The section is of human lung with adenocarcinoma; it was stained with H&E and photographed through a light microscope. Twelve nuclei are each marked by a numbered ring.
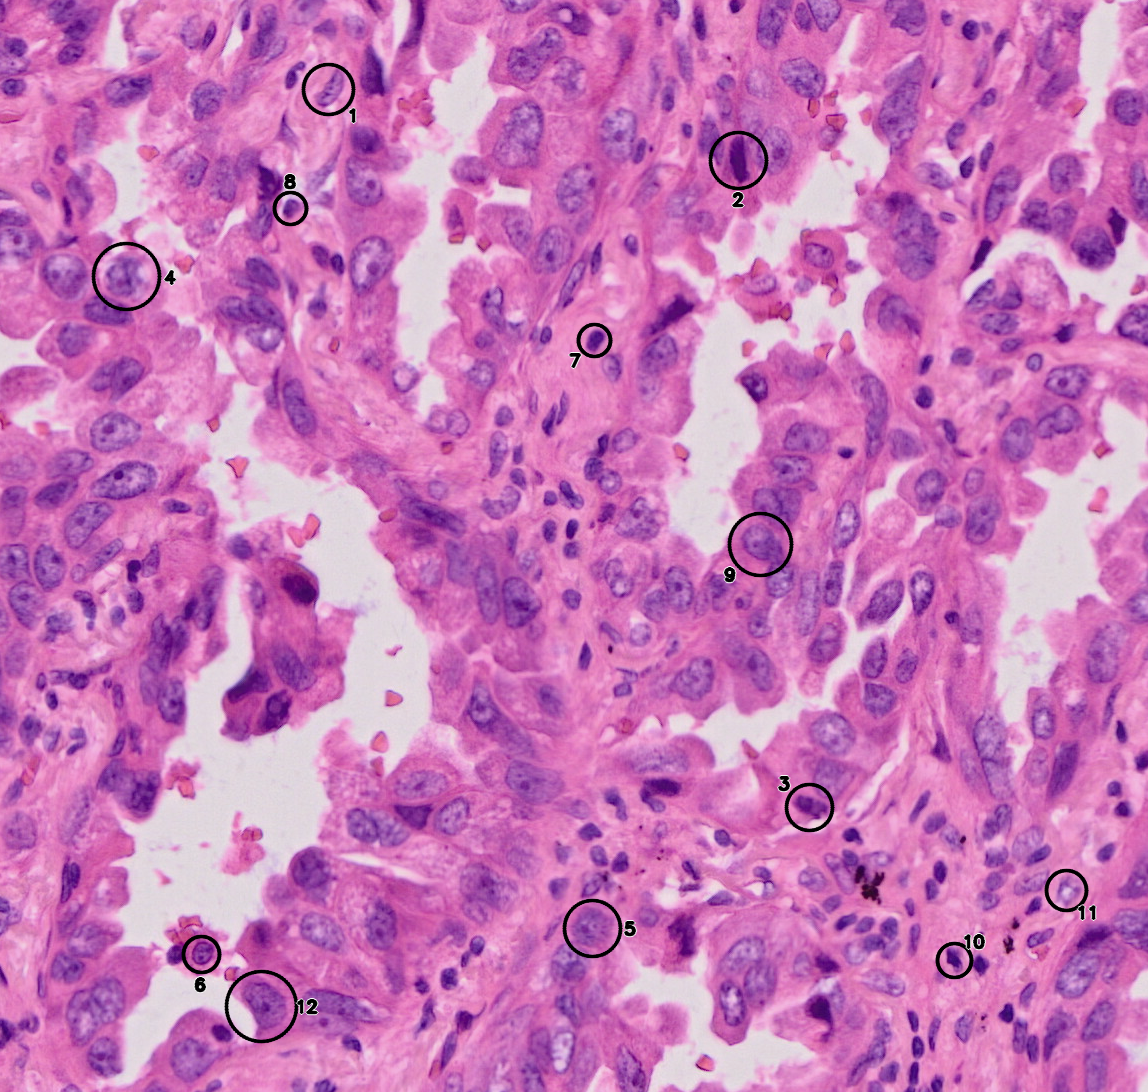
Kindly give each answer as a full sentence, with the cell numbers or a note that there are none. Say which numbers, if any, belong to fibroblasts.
The cells the numbers 1 and 11 point to are fibroblasts.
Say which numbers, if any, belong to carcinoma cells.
The cells with the number labels 2, 3, 4, 5, 9 and 12 are carcinoma cells.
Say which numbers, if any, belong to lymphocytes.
Here, the cells that carry numbers 7, 8 and 10 are lymphocytes.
